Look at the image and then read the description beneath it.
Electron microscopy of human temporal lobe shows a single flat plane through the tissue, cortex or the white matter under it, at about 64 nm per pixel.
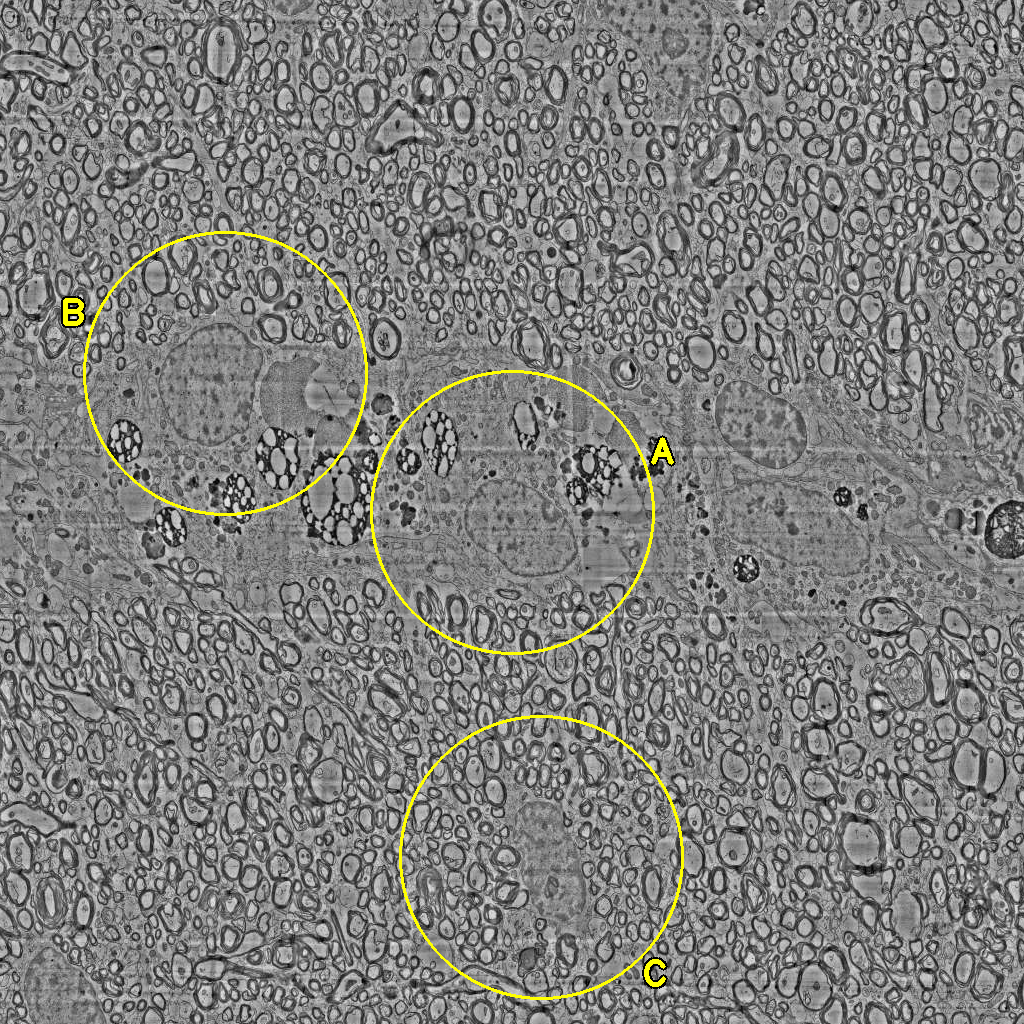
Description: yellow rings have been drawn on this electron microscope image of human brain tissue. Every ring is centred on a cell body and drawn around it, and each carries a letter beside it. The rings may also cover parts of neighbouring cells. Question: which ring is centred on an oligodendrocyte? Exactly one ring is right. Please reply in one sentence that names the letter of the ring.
It is ring C.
